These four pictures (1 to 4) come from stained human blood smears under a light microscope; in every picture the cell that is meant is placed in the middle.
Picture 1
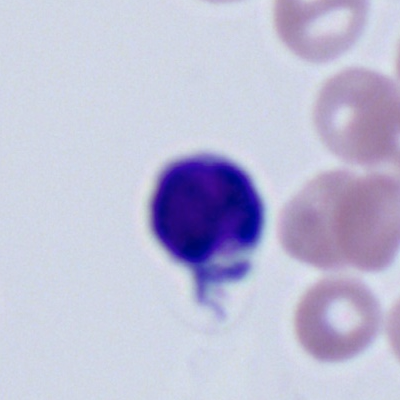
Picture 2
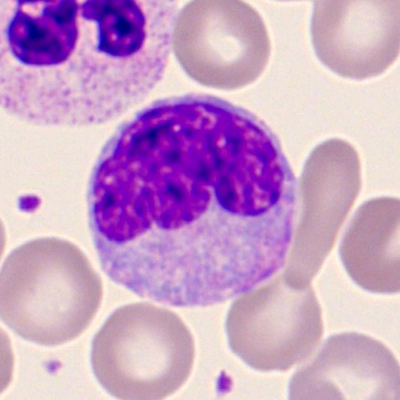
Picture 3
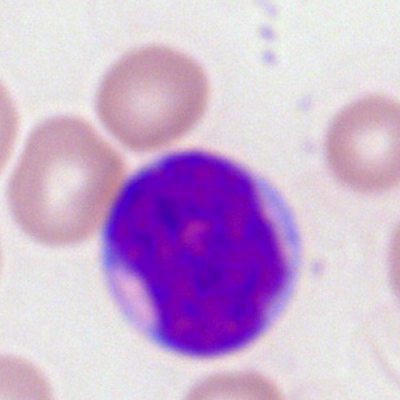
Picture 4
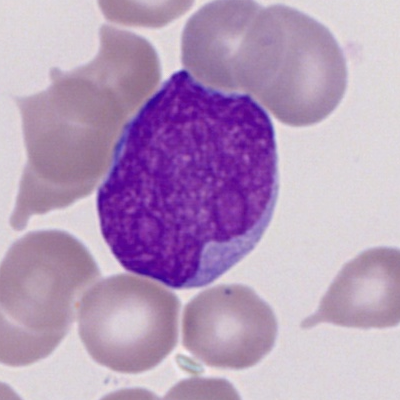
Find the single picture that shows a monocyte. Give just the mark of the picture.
2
